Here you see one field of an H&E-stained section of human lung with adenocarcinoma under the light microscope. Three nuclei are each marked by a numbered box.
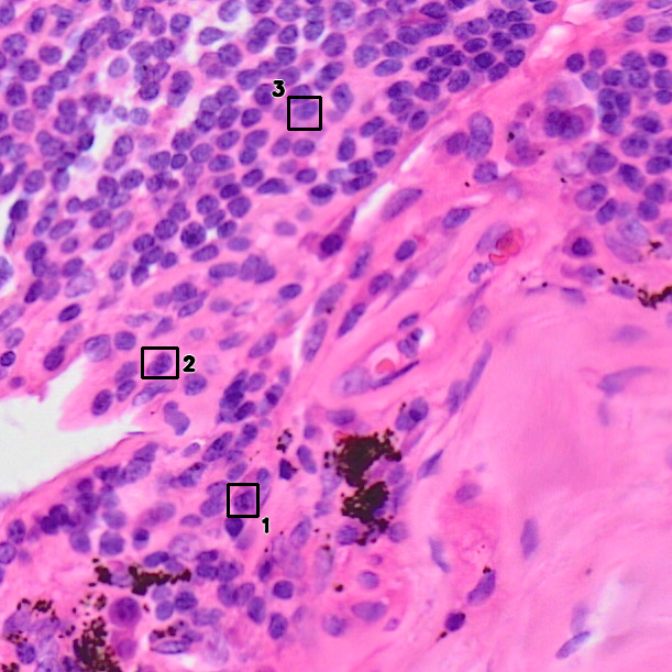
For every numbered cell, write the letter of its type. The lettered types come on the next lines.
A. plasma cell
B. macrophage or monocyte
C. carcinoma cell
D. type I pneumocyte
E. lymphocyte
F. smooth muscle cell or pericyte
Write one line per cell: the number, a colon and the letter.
1: A
2: E
3: E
